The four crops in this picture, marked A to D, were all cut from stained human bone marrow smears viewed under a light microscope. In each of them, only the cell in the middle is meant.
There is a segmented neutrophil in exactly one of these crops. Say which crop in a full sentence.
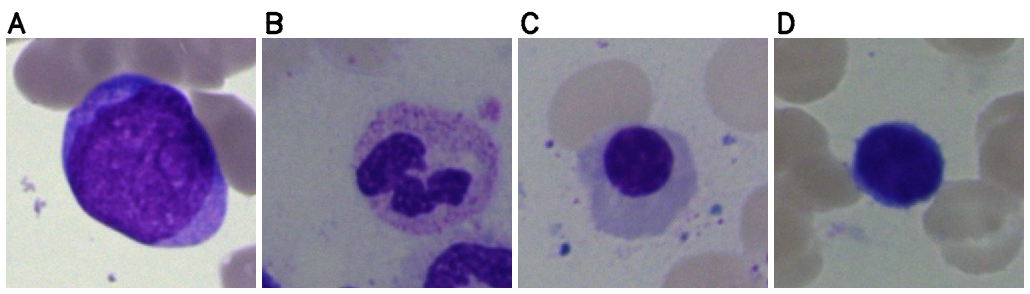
Of these crops, it is crop B that shows a segmented neutrophil.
